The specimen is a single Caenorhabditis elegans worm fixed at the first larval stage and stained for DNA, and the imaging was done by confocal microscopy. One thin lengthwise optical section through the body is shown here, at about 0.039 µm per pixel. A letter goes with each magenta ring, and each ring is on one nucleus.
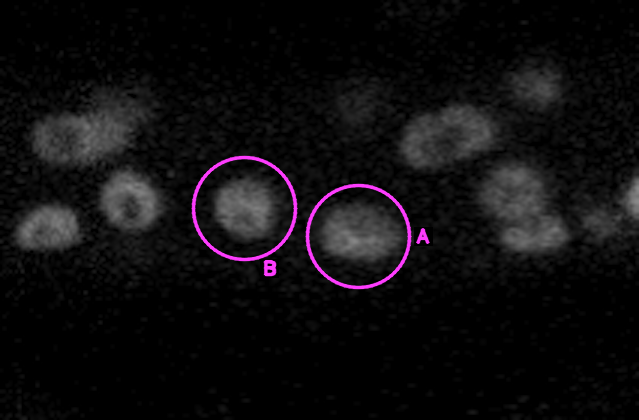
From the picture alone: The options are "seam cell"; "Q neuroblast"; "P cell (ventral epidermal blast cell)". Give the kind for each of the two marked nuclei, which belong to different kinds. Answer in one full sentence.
A is in a P cell (ventral epidermal blast cell) and B is in a Q neuroblast.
